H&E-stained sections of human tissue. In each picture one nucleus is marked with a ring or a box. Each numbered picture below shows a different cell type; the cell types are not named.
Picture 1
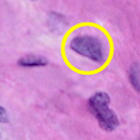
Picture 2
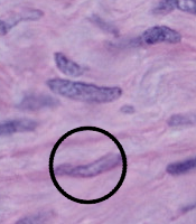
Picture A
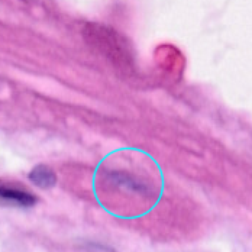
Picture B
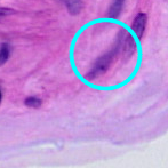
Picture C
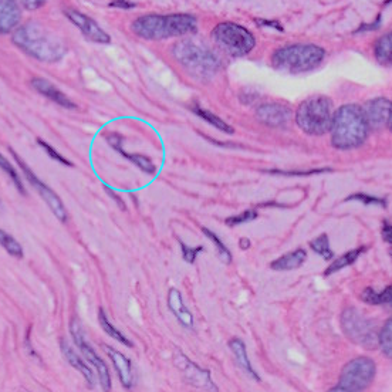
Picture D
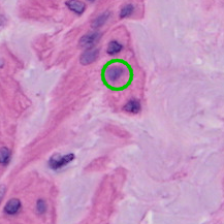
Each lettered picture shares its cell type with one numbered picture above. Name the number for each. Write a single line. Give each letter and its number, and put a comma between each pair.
A 2, B 2, C 1, D 2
